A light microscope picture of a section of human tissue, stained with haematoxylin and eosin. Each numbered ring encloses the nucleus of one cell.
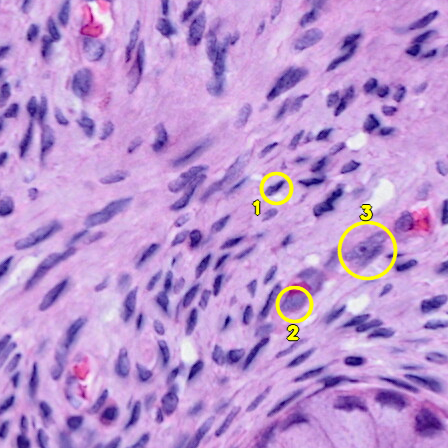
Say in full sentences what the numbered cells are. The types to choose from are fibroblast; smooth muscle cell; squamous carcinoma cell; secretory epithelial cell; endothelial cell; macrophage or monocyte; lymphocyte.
Cell 1 is a fibroblast, cell 2 is an endothelial cell and cell 3 is an endothelial cell.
